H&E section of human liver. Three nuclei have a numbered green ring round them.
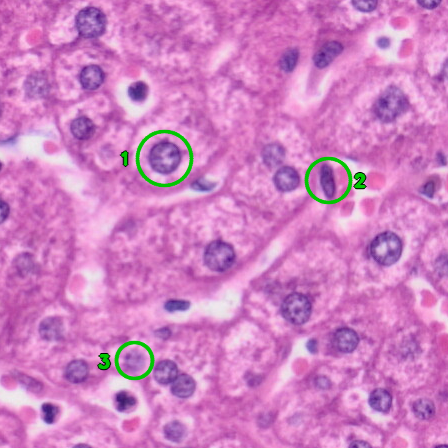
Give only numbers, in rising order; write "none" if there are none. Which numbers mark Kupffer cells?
2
